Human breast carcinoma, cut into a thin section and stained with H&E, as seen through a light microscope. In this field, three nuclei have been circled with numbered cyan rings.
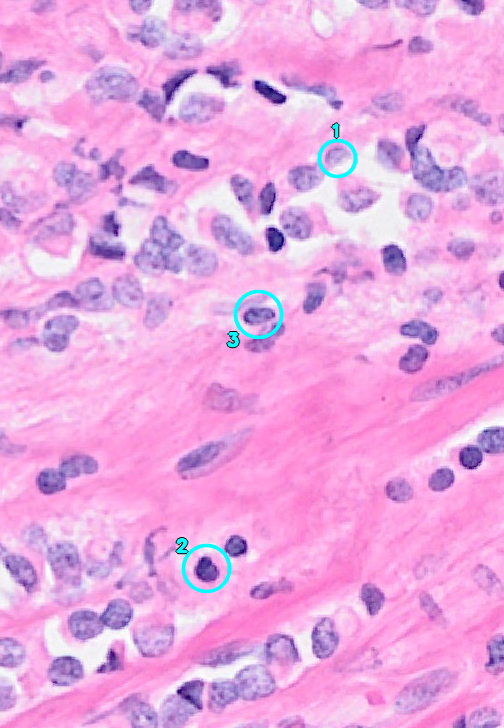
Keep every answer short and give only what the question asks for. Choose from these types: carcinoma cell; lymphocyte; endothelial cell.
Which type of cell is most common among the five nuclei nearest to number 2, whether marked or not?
lymphocyte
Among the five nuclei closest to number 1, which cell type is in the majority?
carcinoma cell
